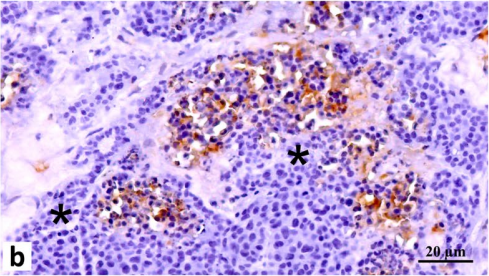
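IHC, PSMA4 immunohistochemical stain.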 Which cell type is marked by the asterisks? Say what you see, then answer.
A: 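Several groups of brown-stained cells within nests of crowded cells. Nests separated by pale stroma.
Cancer cells.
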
